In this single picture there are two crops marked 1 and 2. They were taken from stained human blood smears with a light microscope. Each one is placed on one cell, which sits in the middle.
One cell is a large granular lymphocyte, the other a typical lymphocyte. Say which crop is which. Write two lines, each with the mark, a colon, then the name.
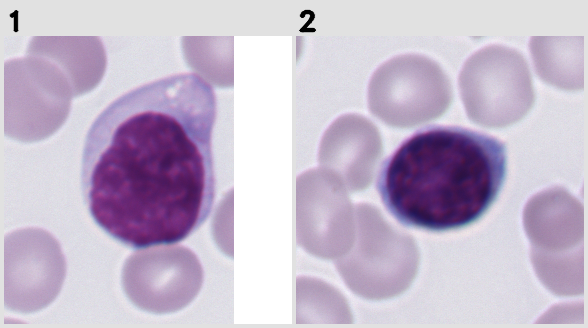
1: large granular lymphocyte
2: typical lymphocyte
